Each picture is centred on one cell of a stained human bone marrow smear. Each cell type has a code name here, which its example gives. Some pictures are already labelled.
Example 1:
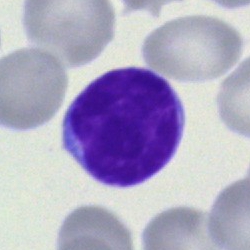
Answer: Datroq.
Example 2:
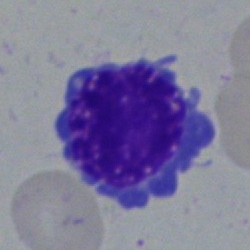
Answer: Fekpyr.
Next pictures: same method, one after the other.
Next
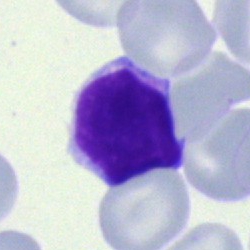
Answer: Datroq.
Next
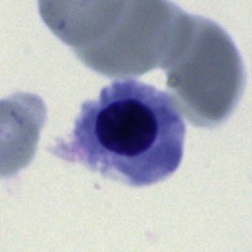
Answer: Fekpyr.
